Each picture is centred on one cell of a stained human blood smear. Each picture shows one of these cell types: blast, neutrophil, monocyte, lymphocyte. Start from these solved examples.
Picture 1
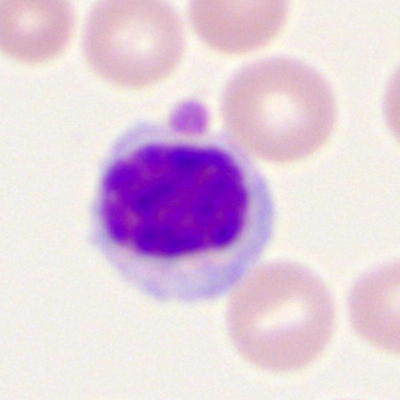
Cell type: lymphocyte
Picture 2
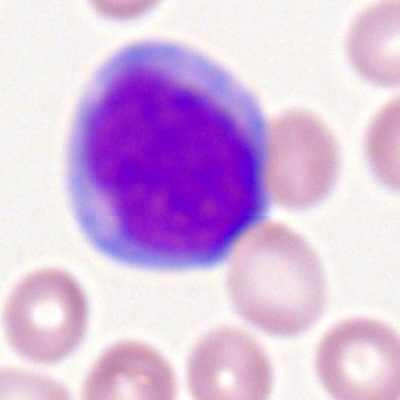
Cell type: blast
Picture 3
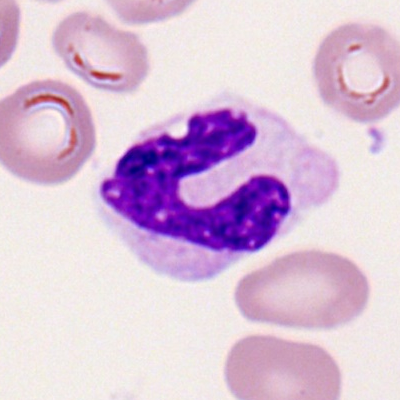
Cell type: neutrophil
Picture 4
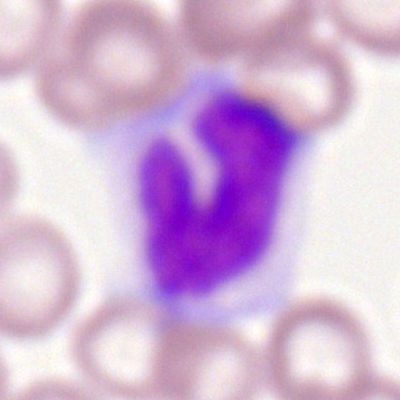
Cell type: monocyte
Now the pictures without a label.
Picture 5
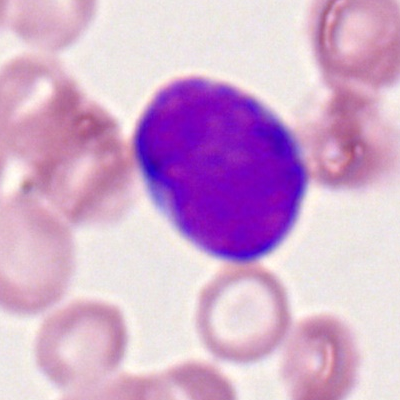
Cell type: blast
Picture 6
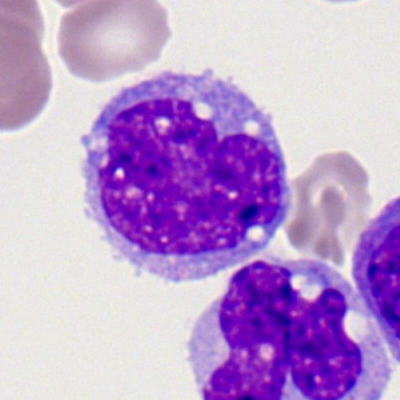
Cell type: monocyte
